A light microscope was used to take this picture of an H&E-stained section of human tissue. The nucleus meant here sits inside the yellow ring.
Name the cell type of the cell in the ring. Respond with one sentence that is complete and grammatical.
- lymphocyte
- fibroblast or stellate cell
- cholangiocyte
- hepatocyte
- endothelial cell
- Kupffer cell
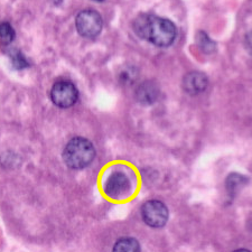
As to its cell type, the cell in the ring is a Kupffer cell.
